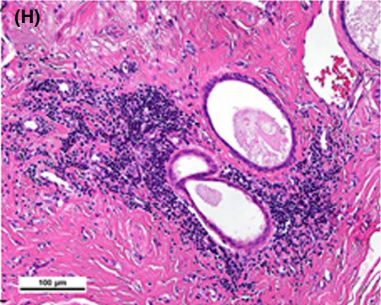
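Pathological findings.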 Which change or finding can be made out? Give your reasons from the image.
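A dense cluster of small round dark-blue nuclei lies in the pink stroma. The cluster surrounds small gland-like structures lined by epithelium.
Answer: lymphocytic infiltration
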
